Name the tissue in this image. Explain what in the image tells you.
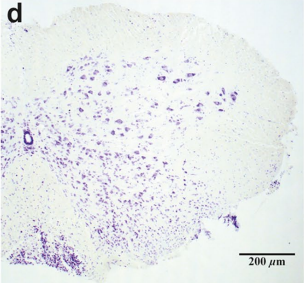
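Spinal cord. A half cross-section with a central canal lined by violet cells near the left edge. Violet-stained grey matter in the middle, pale white matter around it.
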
